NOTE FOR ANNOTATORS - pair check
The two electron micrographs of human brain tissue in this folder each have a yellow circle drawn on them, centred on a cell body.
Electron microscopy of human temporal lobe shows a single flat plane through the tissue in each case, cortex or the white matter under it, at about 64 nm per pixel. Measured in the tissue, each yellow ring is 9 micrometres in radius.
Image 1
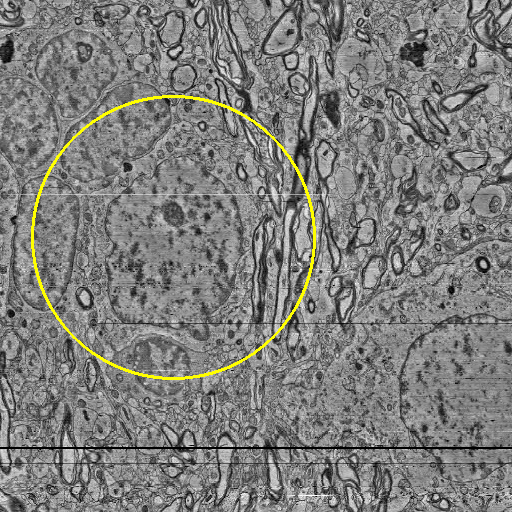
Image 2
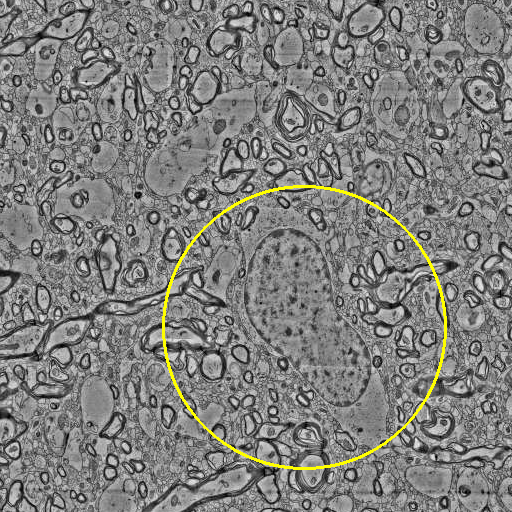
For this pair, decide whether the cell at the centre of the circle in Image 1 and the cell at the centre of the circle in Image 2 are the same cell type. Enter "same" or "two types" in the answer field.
two types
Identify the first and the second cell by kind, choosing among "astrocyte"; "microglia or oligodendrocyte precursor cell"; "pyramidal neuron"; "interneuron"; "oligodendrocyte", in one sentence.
The one in the first picture is an interneuron, while the one in the second is a microglial cell or oligodendrocyte precursor cell.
